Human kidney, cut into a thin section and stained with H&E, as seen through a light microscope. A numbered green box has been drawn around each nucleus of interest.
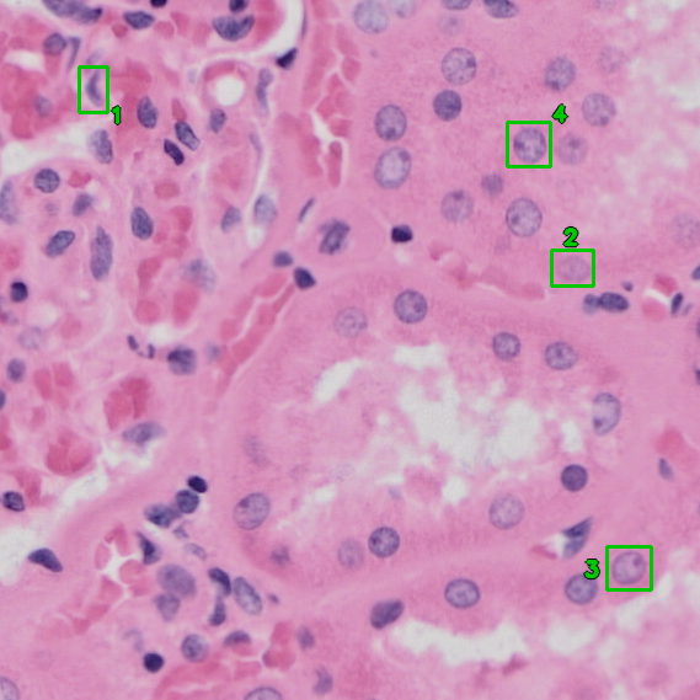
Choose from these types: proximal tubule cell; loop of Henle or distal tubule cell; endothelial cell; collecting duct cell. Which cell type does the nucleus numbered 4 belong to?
proximal tubule cell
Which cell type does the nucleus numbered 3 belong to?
proximal tubule cell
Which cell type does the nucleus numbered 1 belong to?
endothelial cell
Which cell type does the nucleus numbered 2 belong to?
proximal tubule cell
